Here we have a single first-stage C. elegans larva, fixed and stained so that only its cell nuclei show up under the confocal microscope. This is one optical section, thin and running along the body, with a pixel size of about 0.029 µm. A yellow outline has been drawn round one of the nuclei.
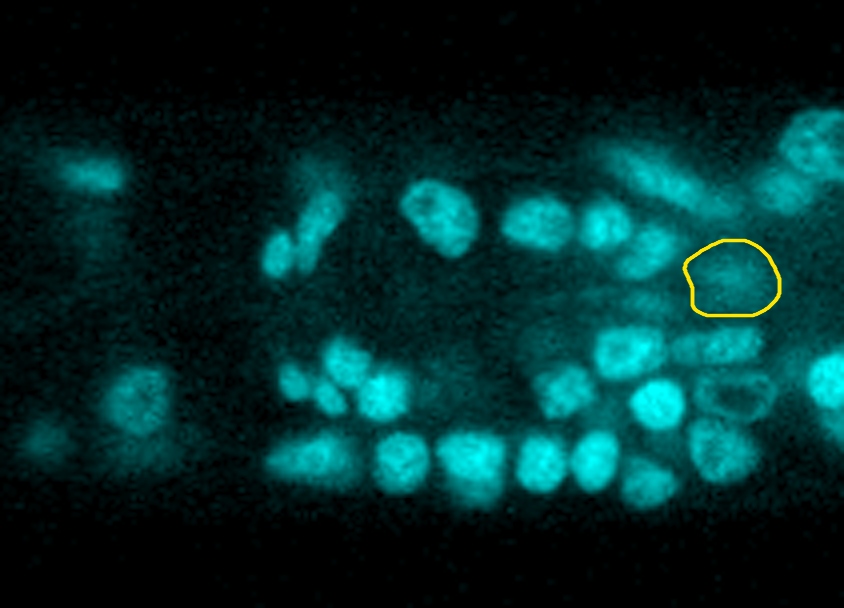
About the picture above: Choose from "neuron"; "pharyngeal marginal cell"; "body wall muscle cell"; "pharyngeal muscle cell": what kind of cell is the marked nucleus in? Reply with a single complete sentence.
The marked nucleus is that of a pharyngeal marginal cell.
